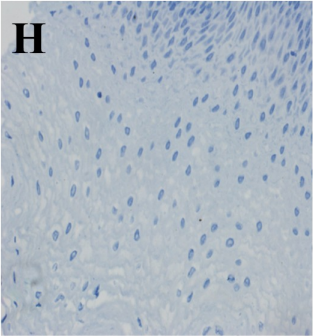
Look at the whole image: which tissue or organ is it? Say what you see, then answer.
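Layered epithelial cells with oval nuclei. Nuclei become flattened and oriented in parallel toward the upper part. The answer: squamous epithelium.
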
